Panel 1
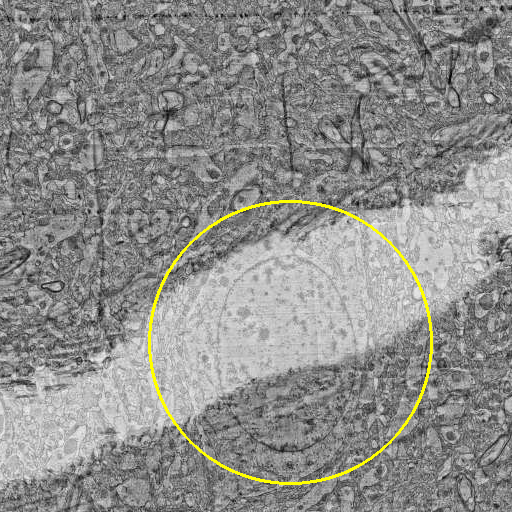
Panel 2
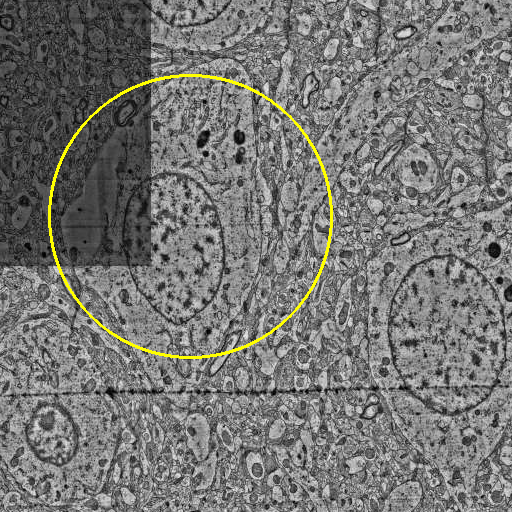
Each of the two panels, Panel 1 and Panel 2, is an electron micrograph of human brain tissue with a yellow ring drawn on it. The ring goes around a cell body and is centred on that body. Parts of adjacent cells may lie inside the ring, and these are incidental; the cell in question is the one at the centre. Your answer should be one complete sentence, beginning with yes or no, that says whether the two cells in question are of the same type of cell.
Yes, the two cells are of the same type.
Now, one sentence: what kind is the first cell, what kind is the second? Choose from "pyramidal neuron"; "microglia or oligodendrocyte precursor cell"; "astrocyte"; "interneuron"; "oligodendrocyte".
Both cells are the same kind, each one being a pyramidal neuron.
